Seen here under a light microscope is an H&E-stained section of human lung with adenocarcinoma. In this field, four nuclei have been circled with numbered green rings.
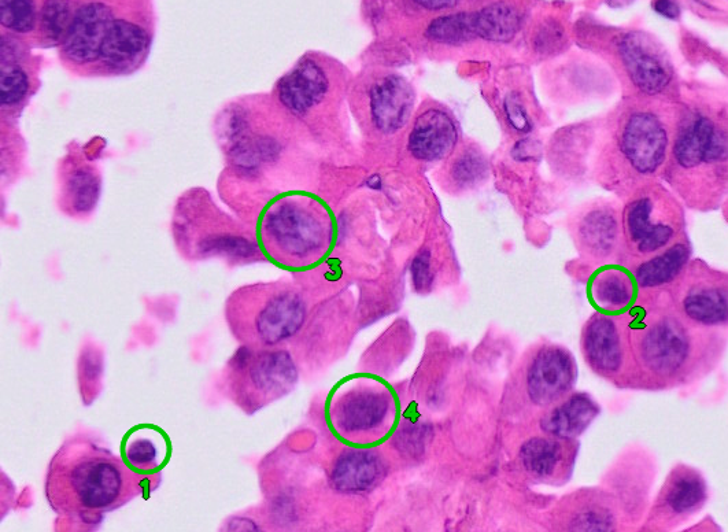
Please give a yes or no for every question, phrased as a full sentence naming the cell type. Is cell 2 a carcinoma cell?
Yes, the marked cell number 2 is a carcinoma cell.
